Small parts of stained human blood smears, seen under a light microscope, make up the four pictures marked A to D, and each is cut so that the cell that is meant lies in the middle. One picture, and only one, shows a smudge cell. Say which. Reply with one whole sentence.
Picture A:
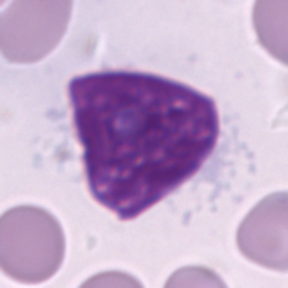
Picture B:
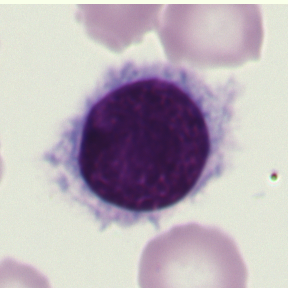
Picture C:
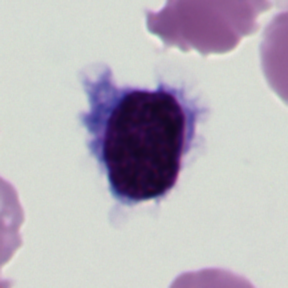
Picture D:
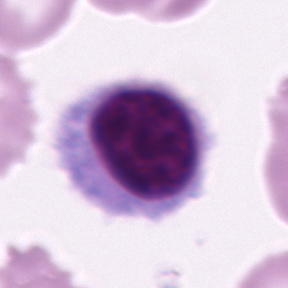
Picture A is the one that shows the smudge cell.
